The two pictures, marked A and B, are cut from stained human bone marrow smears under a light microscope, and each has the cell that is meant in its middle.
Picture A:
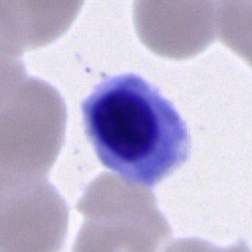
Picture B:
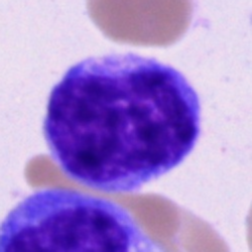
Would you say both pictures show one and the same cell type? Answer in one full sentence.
No, the types are not the same, since picture A shows an erythroblast and picture B a blast.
